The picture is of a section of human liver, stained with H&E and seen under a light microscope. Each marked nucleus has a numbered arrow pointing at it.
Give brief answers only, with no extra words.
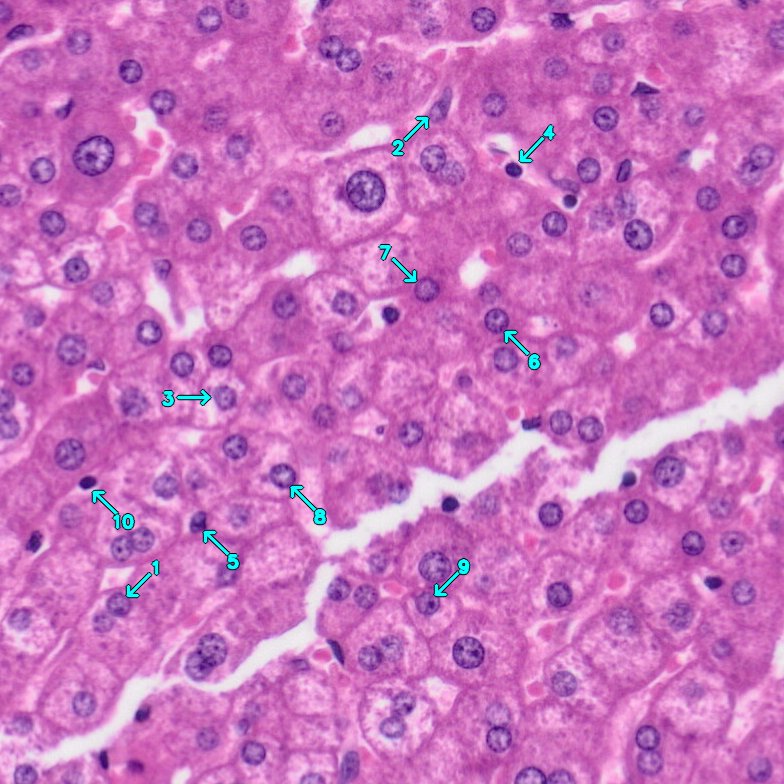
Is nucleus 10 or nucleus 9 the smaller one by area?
10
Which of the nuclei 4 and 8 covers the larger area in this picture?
8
